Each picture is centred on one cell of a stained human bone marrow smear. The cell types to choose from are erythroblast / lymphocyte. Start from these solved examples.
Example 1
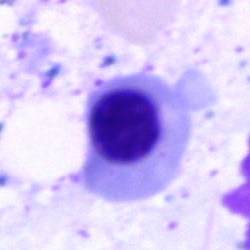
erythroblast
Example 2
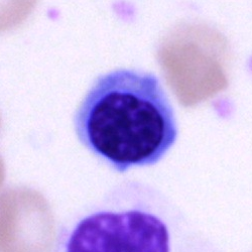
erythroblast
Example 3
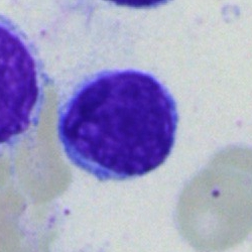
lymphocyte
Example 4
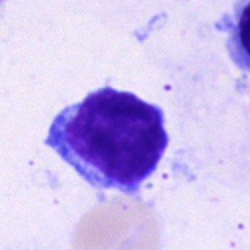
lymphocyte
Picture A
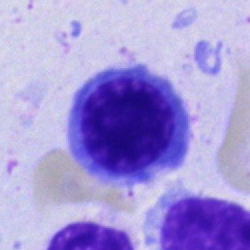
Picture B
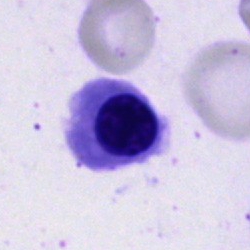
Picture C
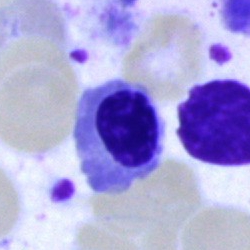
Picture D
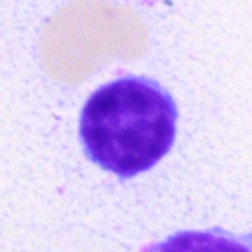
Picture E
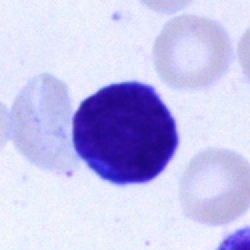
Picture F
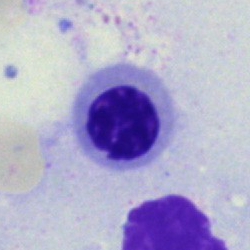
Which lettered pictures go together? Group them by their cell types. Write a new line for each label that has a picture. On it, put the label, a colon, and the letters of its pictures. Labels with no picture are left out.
erythroblast: A, B, C, F
lymphocyte: D, E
